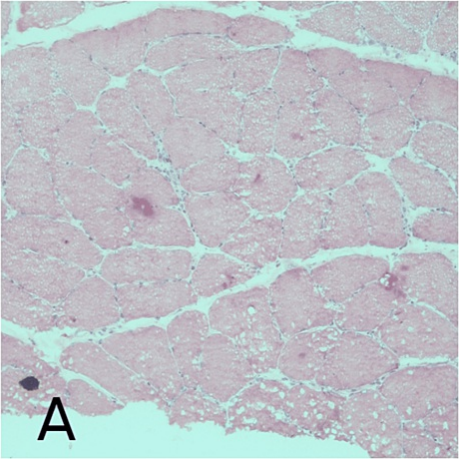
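This is skeletal muscle cut across, with pink polygonal muscle fibers gathered into fascicles. Thin pale strands of connective tissue run between the fibers, with wider pale bands separating the fascicles. Small dark nuclei lie along the fiber edges. Some fibers have a paler, vacuolated or mottled look, and a few show a darker pink patch.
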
